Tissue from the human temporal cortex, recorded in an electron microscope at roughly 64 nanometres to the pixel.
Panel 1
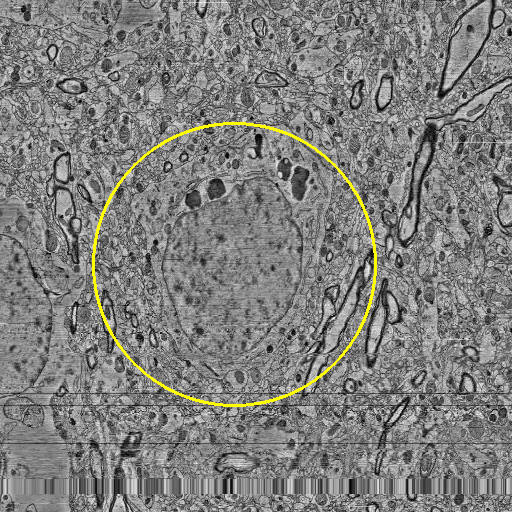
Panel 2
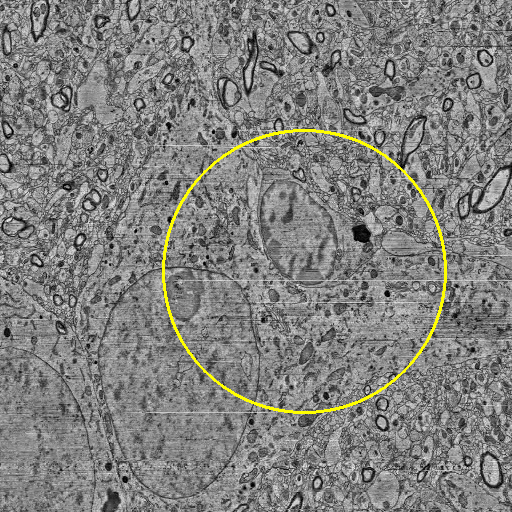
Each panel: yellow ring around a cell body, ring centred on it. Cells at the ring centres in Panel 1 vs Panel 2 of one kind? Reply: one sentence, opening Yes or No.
No, Panel 1 and Panel 2 have cells of two kinds at the ring centres.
